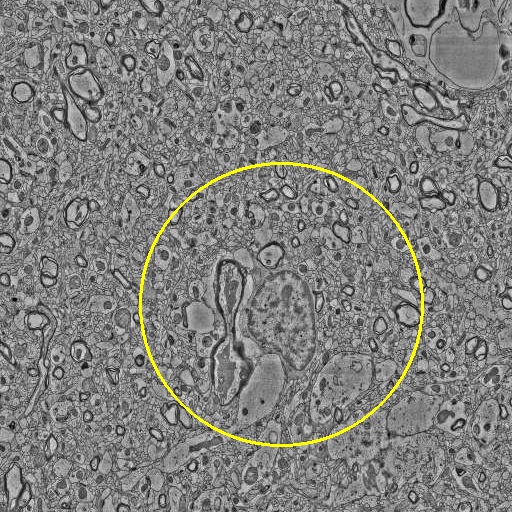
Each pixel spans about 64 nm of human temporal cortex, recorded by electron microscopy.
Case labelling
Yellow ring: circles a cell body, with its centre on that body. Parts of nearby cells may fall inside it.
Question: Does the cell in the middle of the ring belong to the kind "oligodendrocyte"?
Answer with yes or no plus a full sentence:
Yes, in this picture the cell in the middle of the yellow ring belongs to that kind.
